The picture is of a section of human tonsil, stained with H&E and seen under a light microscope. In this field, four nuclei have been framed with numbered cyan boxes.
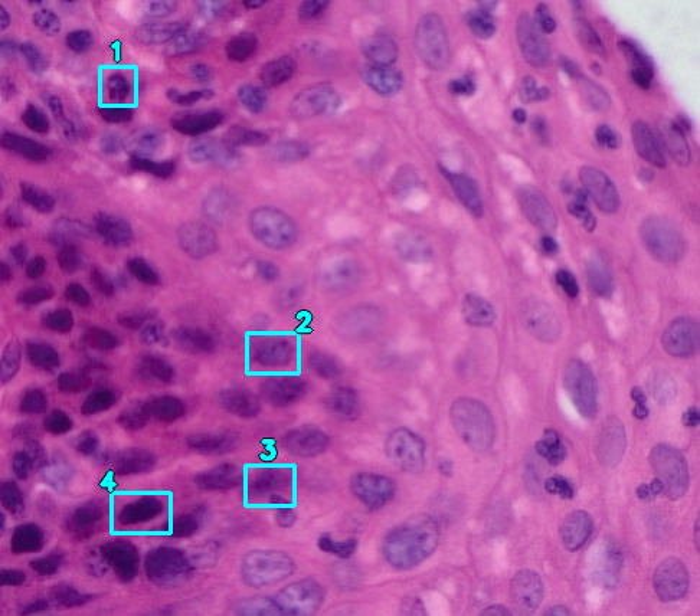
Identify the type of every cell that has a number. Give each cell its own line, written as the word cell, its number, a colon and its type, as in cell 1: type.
cell 1: plasma cell
cell 2: squamous epithelial cell
cell 3: squamous epithelial cell
cell 4: squamous epithelial cell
